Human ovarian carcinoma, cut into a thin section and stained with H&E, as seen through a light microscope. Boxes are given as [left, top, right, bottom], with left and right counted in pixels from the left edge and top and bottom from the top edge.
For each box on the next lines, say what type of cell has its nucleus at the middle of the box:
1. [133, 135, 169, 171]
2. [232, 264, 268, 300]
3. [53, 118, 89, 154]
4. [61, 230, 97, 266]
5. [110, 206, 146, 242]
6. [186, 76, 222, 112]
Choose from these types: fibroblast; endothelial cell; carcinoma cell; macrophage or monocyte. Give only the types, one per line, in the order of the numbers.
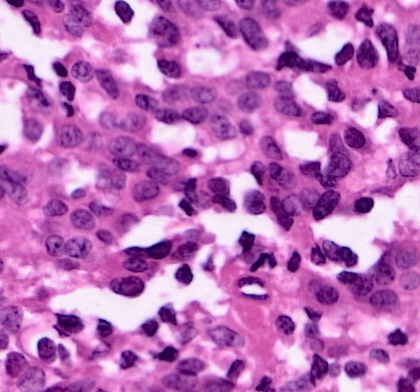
carcinoma cell
endothelial cell
carcinoma cell
macrophage or monocyte
carcinoma cell
carcinoma cell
